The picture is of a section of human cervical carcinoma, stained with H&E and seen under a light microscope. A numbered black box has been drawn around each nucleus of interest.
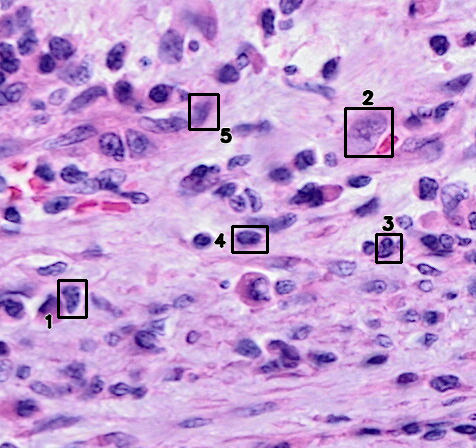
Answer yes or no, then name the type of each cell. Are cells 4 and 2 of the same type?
No, cell 4 is a lymphocyte and cell 2 is an endothelial cell.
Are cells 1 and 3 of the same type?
Yes, both are lymphocytes.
